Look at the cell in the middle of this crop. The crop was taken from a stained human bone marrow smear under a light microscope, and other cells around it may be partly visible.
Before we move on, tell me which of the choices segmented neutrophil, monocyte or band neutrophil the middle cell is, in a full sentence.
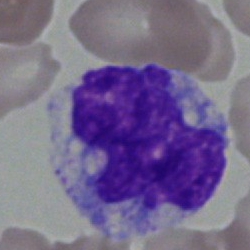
The cell in the middle of the field of view is a monocyte.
